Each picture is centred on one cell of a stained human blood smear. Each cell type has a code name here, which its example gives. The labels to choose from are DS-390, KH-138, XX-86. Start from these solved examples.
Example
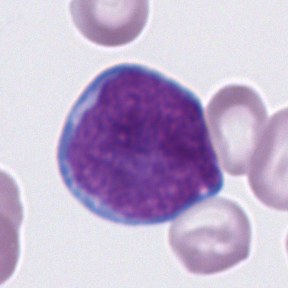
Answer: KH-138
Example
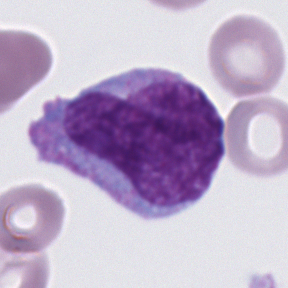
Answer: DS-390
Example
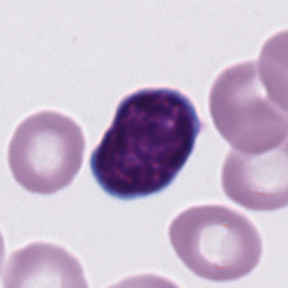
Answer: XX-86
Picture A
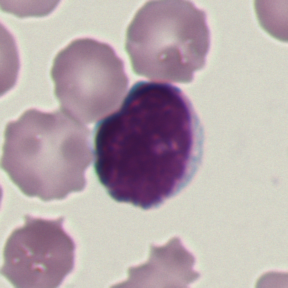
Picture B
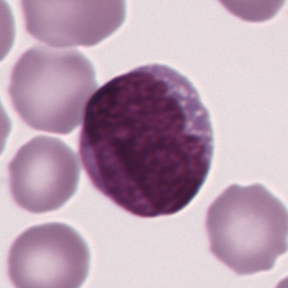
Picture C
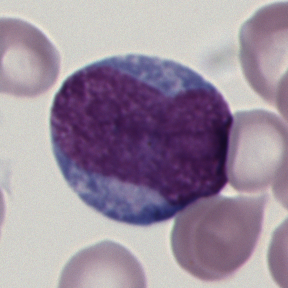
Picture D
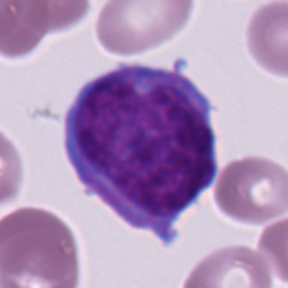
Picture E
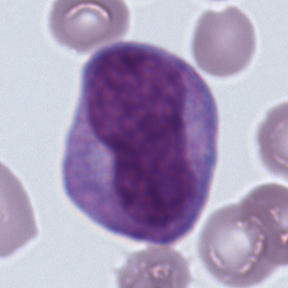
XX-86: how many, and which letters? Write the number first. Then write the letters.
Count: 1 (A)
